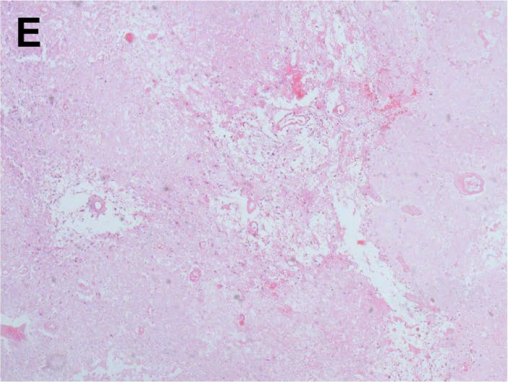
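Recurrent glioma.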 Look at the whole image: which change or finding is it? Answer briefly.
necrotic tissue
